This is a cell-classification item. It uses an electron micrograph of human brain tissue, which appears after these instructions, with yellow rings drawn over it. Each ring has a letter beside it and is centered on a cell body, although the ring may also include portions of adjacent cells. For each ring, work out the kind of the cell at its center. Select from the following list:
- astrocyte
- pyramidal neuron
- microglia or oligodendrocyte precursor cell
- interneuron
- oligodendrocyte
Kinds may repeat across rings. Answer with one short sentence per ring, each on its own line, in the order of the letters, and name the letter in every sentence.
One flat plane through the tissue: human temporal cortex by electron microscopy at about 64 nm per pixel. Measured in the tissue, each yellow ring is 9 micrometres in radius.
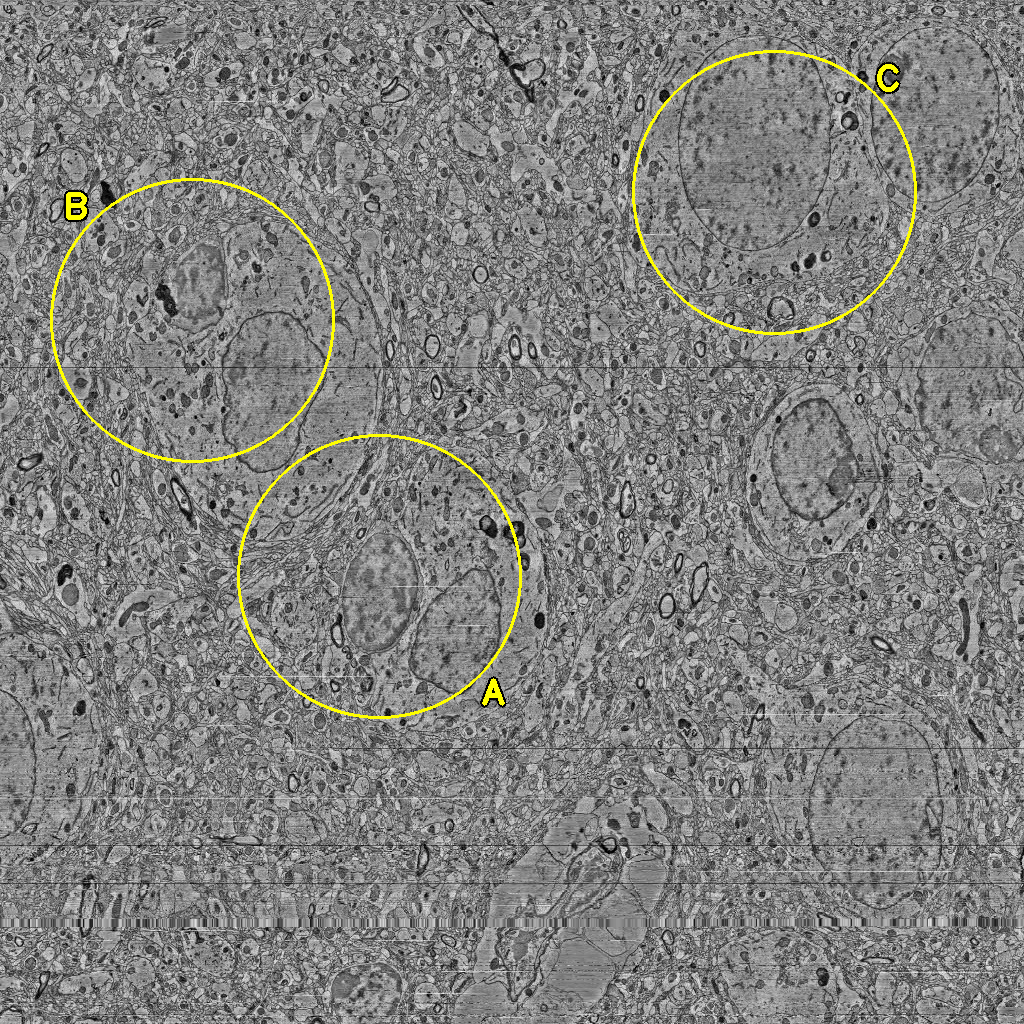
Ring A has an oligodendrocyte at its center.
Ring B has an oligodendrocyte at its center.
Ring C has a pyramidal neuron at its center.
